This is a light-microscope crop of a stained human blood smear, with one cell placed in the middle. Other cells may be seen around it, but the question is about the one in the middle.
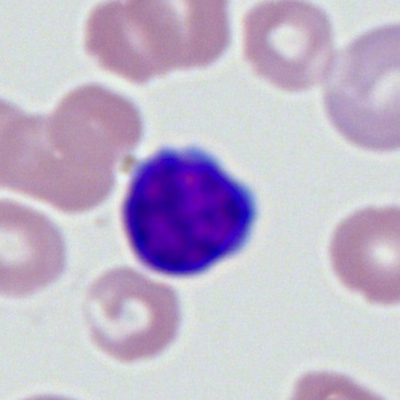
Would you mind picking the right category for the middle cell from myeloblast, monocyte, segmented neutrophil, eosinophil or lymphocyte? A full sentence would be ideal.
The middle cell in this particular crop is a lymphocyte.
